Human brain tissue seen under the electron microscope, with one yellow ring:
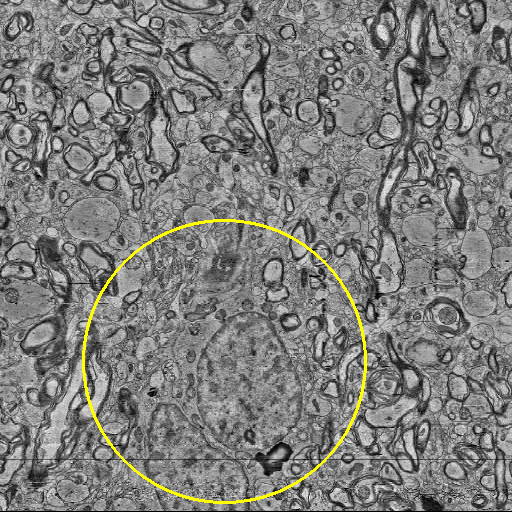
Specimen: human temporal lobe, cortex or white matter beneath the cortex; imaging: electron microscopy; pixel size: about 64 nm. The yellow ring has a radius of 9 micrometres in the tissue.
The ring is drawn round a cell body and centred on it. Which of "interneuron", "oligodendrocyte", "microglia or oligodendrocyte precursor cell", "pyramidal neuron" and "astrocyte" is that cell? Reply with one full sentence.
The picture shows an oligodendrocyte at the very centre of the yellow ring.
